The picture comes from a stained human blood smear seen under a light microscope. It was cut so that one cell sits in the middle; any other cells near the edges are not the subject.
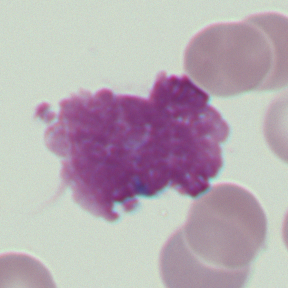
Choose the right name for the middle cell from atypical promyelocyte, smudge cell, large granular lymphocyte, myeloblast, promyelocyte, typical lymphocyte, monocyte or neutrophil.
smudge cell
